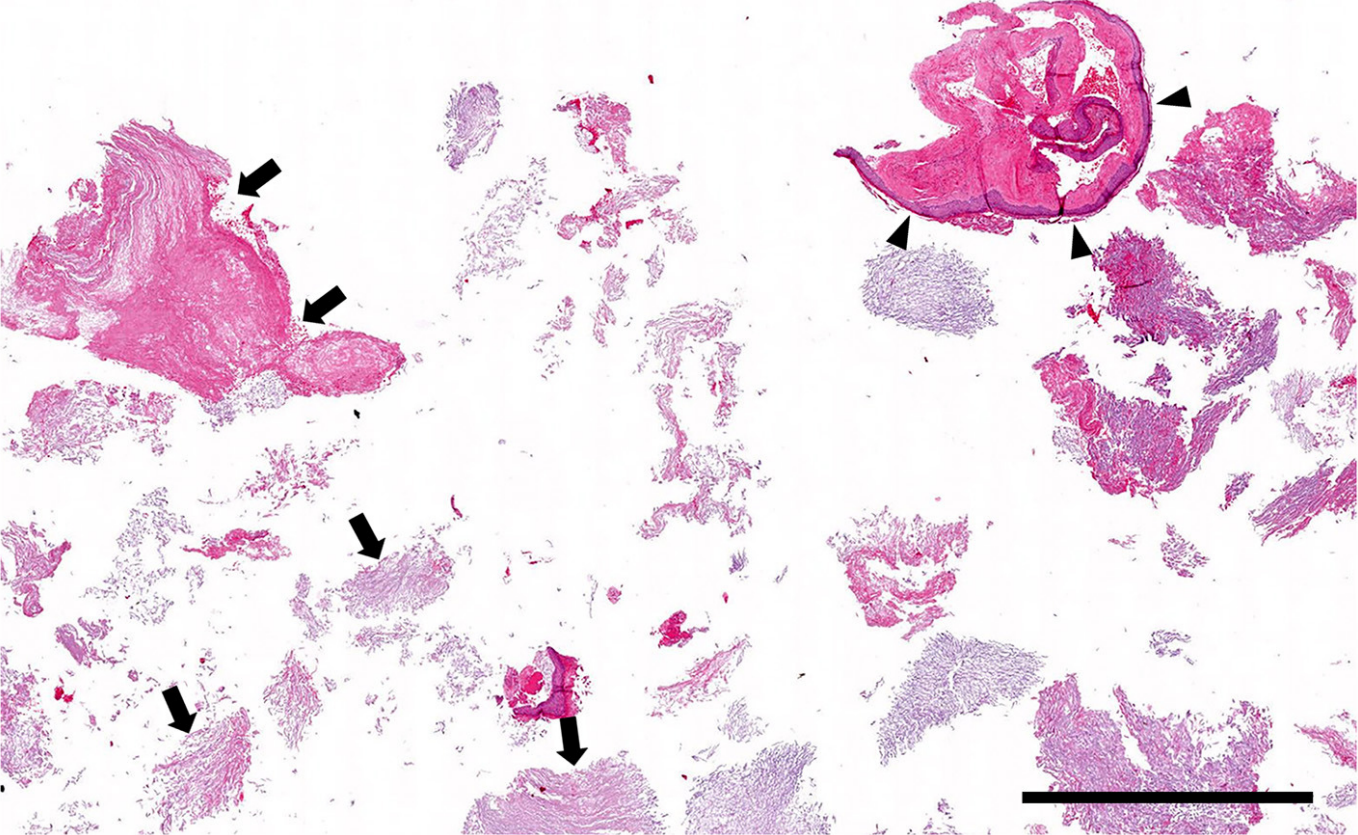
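The keratin is pale pink to lilac material without nuclei, arranged in thin, wavy, parallel lamellae that look like stacked, frayed sheets. At the upper right a curled fragment carries a thin, darker purple band along its outer edge, which is the epithelial lining of the cyst, with denser pink layered keratin packed against its inner side. A smaller fragment with a similar purple band lies near the bottom centre. At this magnification single cells cannot be made out, so the specimen is read by its architecture.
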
